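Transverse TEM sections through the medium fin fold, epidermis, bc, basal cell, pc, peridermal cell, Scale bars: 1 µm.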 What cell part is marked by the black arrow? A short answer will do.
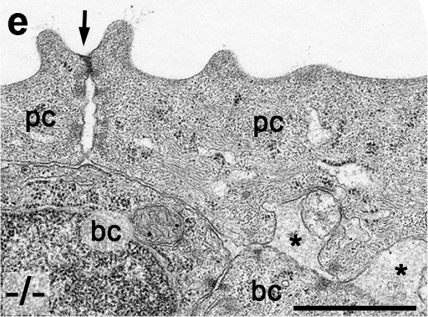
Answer: Tight junctions.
